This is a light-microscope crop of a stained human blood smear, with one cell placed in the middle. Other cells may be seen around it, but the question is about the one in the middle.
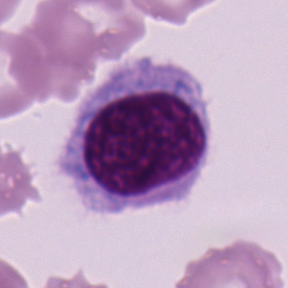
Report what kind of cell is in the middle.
hairy cell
